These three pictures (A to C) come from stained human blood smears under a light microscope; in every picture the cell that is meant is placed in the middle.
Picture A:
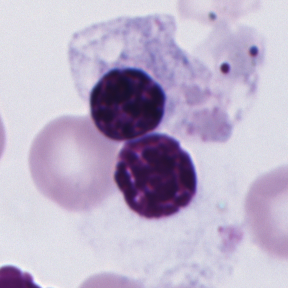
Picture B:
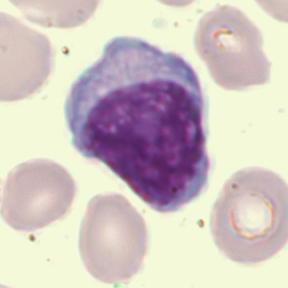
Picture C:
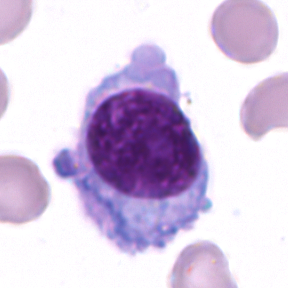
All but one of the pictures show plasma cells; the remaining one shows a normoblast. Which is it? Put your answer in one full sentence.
The cell in picture A is the normoblast.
